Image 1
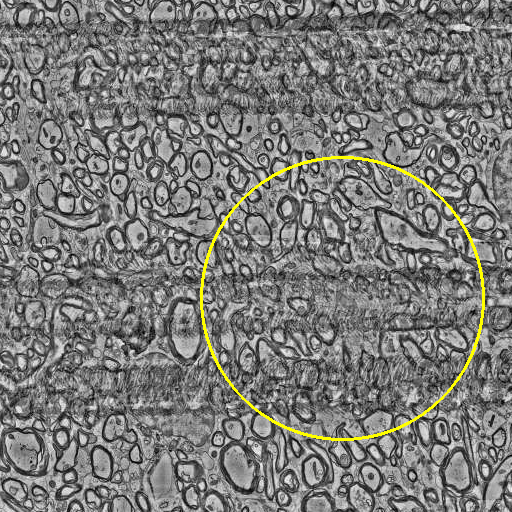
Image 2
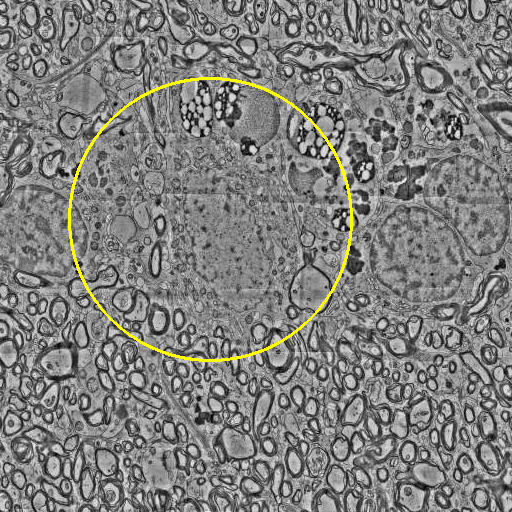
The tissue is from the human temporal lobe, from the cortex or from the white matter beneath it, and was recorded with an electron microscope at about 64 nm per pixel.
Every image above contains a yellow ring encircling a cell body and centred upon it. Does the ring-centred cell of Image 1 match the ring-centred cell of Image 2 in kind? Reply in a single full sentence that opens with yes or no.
No, the cell at the ring's centre in Image 1 is a separate kind from that in Image 2.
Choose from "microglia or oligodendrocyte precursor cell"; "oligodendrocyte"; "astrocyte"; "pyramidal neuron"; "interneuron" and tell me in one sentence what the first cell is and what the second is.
What the first ring is centred on is a microglial cell or oligodendrocyte precursor cell; what the second ring is centred on is an astrocyte.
